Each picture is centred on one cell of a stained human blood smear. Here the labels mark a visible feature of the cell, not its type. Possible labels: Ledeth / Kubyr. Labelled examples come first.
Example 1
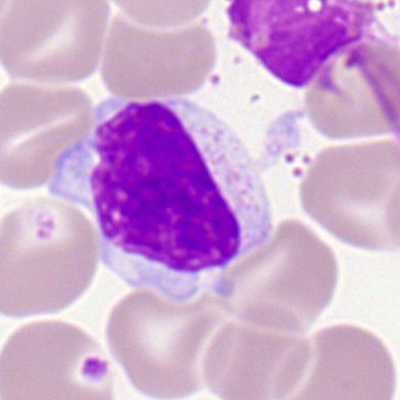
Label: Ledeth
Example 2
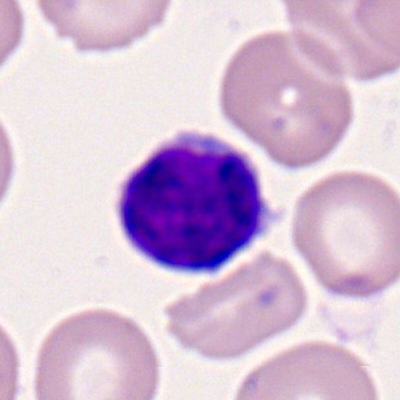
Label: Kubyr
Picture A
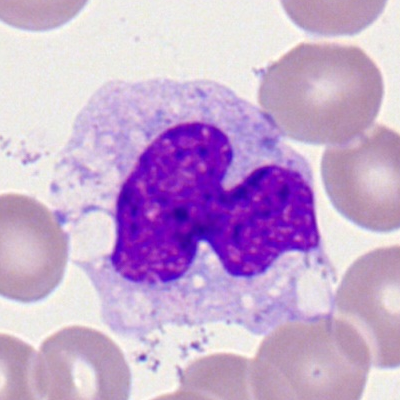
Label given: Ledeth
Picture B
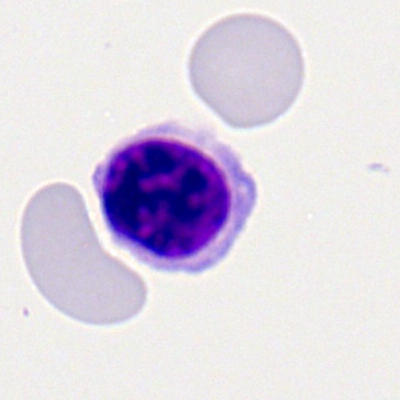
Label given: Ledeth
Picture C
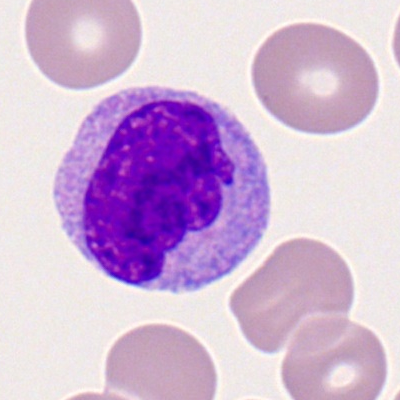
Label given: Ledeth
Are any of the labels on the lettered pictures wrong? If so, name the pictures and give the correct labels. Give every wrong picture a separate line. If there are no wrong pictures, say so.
B is labelled Ledeth; correct label: Kubyr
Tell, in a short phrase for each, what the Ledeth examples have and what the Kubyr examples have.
Seen in Ledeth: many visible granules; seen in Kubyr: no visible granules.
